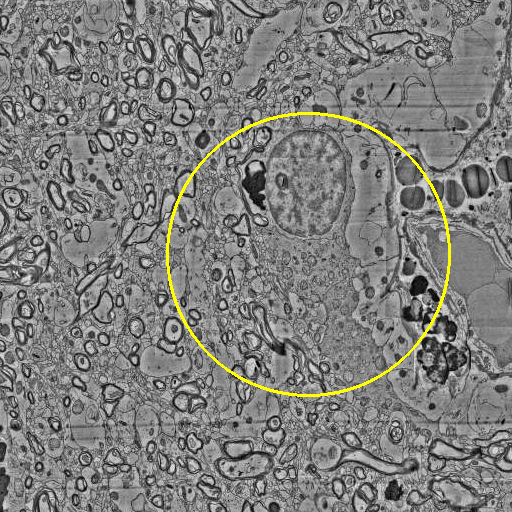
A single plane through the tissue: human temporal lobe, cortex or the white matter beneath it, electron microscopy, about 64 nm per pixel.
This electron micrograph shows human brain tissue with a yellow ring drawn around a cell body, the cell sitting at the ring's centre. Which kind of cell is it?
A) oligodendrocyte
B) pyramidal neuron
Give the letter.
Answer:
A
